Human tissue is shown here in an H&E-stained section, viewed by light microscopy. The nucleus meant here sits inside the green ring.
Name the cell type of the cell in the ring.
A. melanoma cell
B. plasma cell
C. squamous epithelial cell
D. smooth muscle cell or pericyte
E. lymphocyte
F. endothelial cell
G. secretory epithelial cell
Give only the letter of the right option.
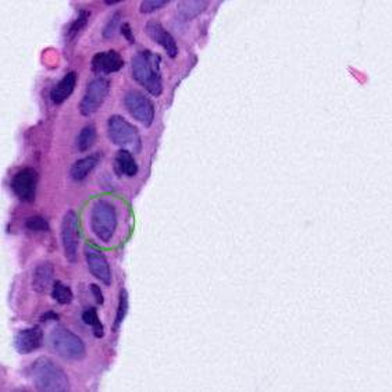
G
